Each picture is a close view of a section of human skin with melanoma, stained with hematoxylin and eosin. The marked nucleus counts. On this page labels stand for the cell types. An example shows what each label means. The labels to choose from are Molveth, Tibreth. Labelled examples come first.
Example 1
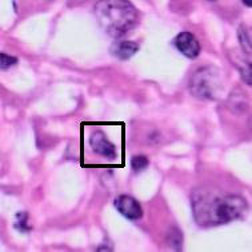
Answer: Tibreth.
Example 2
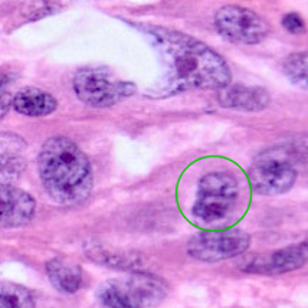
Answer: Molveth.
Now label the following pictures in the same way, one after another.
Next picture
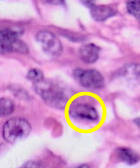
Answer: Molveth.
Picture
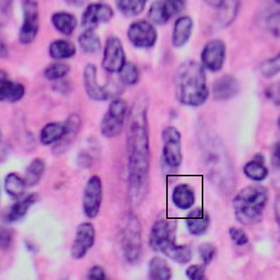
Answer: Tibreth.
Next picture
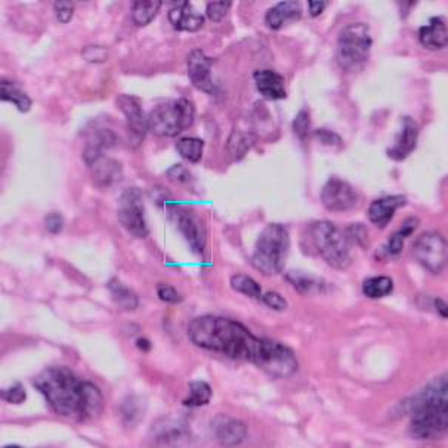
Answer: Molveth.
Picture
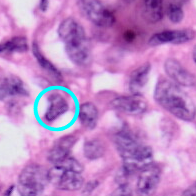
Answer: Molveth.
